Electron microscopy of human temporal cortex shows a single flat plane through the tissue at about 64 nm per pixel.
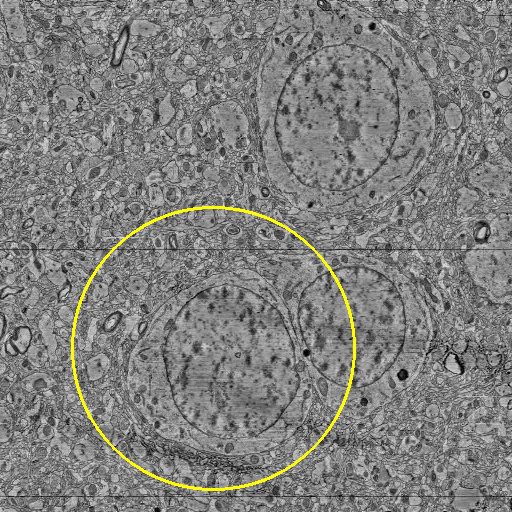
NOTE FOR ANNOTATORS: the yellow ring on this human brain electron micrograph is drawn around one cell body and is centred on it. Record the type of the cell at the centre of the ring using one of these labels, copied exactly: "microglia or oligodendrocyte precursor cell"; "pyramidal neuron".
pyramidal neuron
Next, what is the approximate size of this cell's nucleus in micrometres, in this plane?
Roughly 10 by 8 micrometres is the size of the nucleus in this plane.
